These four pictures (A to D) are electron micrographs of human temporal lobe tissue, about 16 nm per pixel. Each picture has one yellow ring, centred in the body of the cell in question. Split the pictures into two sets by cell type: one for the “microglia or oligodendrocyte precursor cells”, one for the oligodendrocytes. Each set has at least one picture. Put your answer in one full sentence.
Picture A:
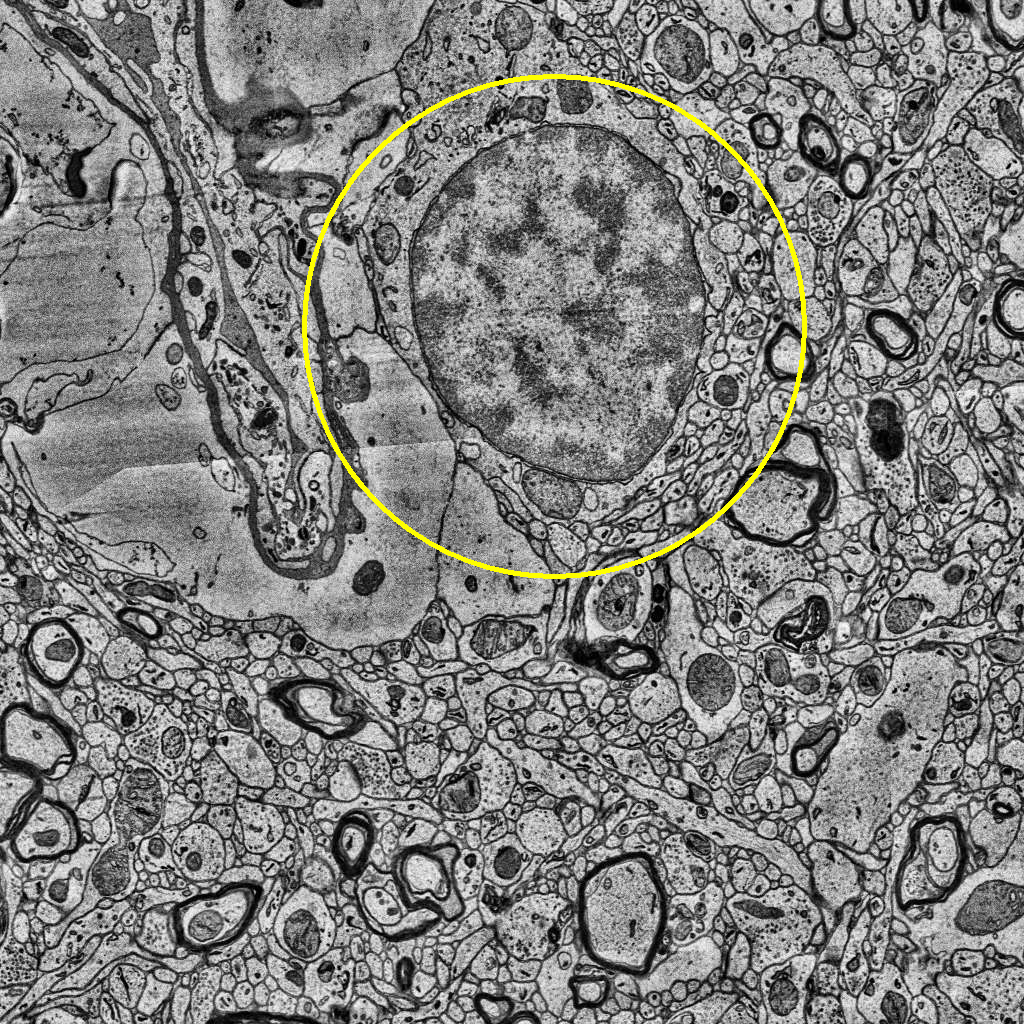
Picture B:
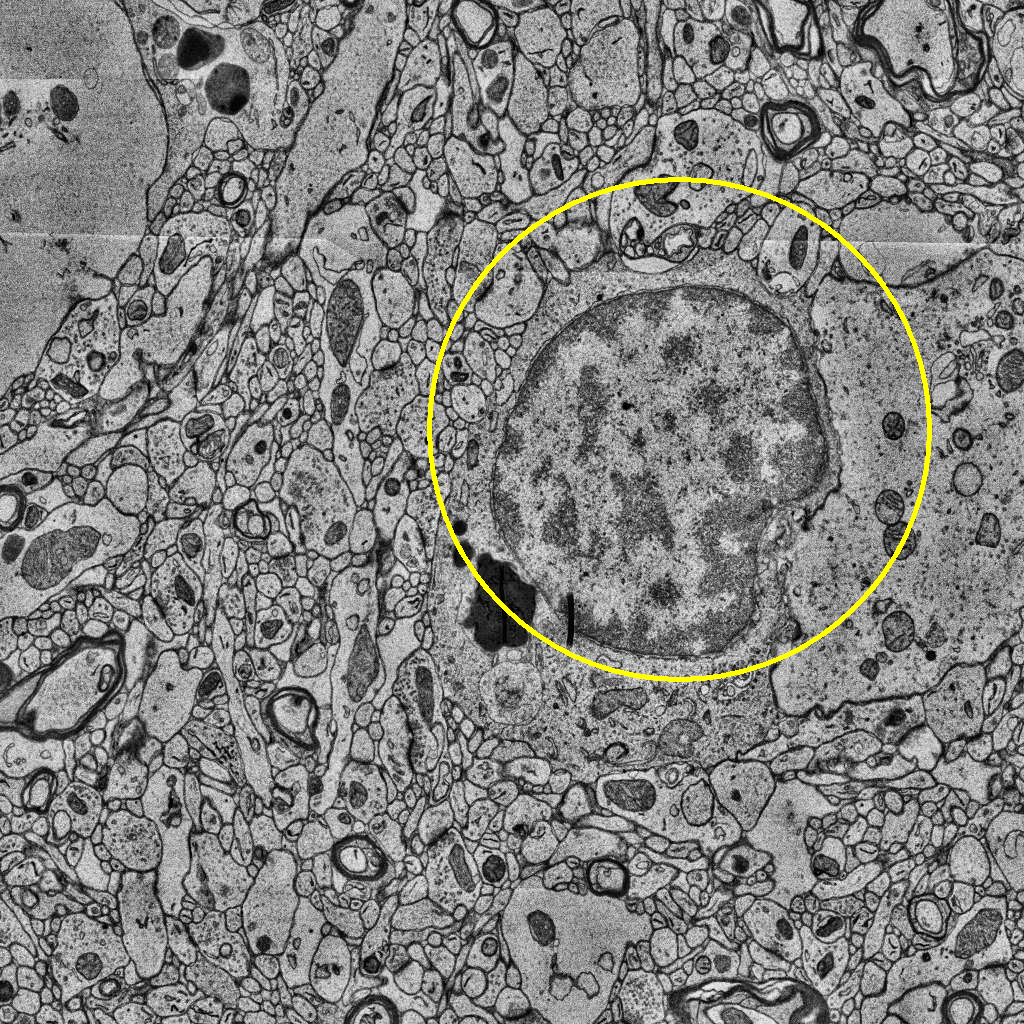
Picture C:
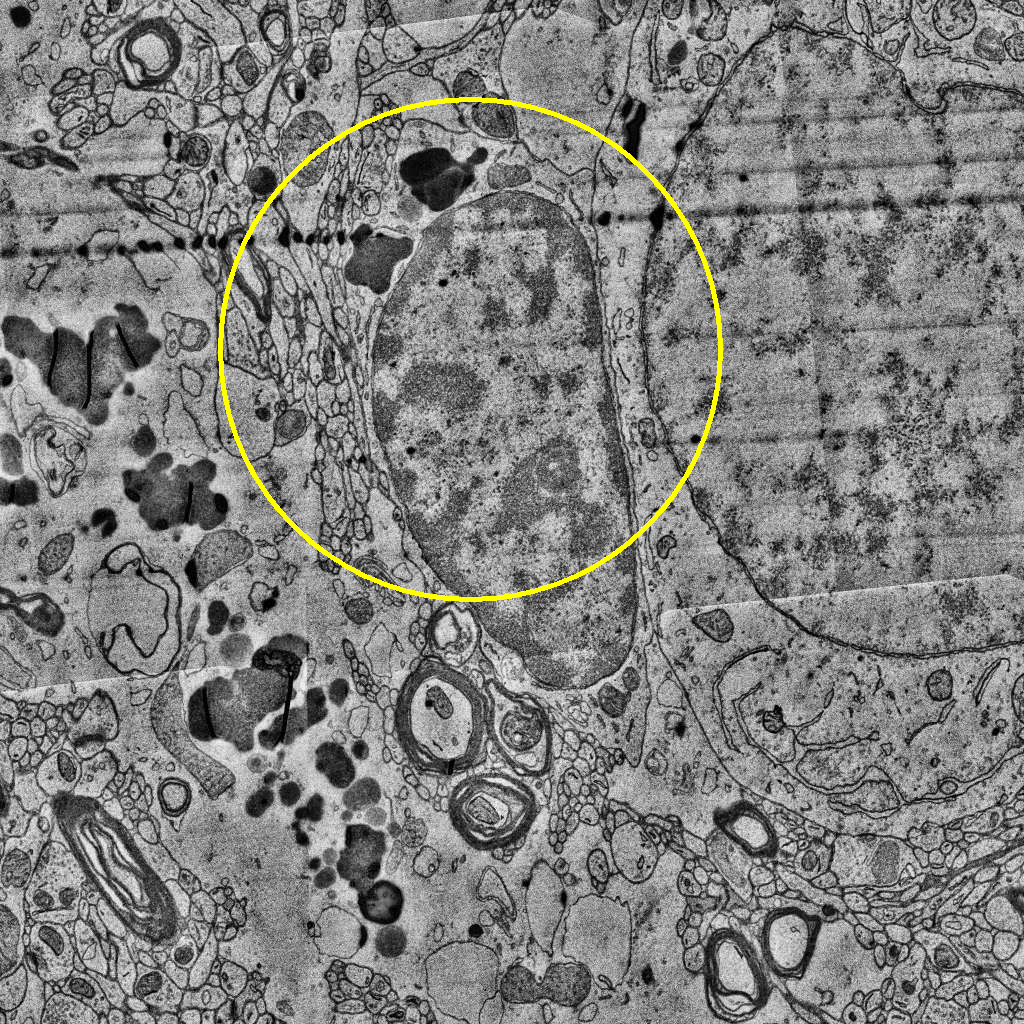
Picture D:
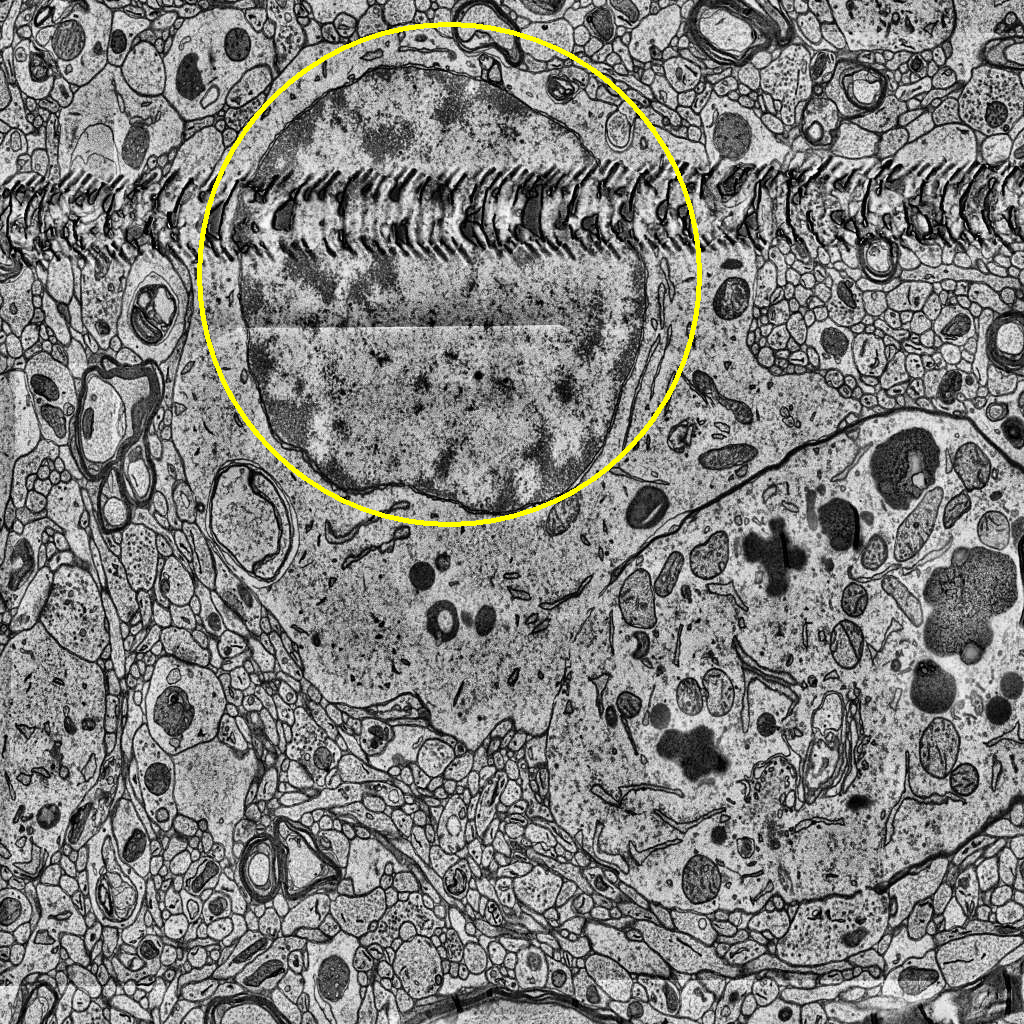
Pictures C and D show “microglia or oligodendrocyte precursor cells”, while pictures A and B show oligodendrocytes.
